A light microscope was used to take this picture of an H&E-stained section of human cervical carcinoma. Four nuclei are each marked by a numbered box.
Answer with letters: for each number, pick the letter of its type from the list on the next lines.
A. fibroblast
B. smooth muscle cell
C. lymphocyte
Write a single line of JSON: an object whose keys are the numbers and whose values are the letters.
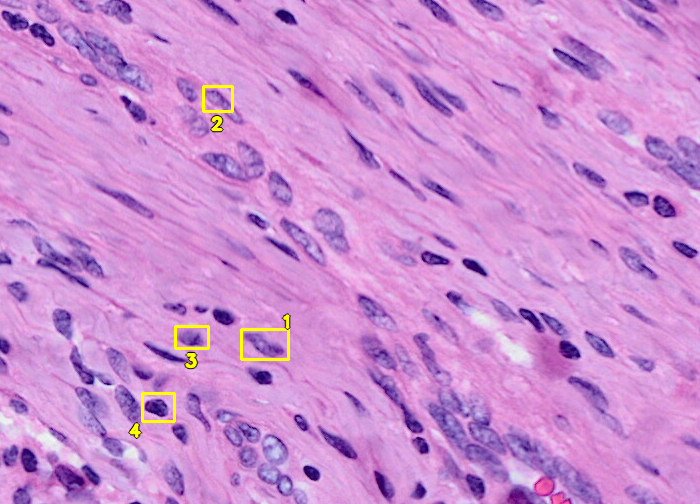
{"1": "A", "2": "B", "3": "A", "4": "C"}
